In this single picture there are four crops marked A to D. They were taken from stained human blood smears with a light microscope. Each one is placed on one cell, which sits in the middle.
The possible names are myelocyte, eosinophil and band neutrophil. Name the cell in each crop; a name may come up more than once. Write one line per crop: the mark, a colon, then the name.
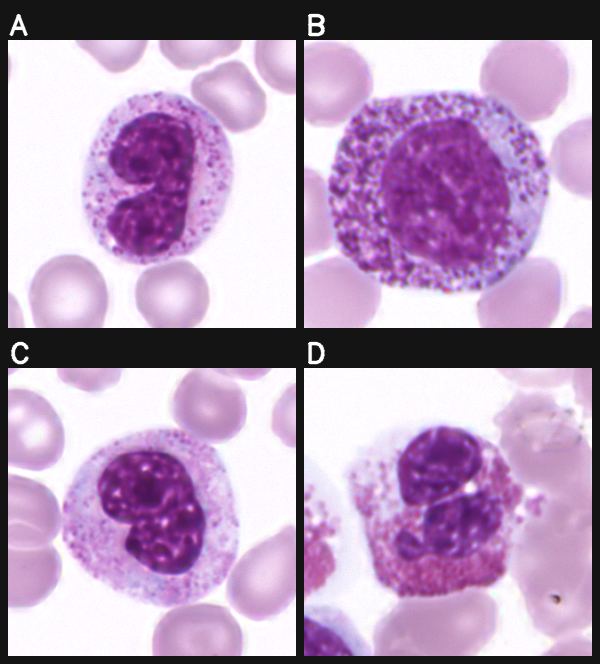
A: band neutrophil
B: myelocyte
C: band neutrophil
D: eosinophil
